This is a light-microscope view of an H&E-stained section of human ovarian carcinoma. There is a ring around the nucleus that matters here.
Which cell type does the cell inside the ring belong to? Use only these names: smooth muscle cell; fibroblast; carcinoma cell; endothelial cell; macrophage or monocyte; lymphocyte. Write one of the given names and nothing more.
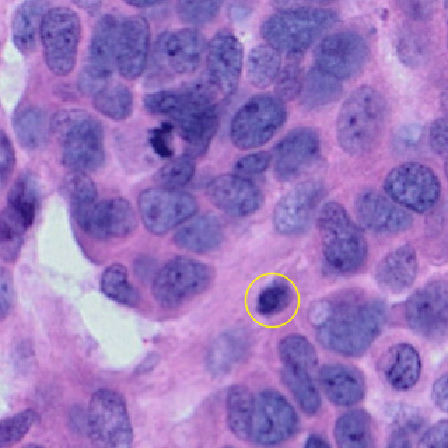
lymphocyte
